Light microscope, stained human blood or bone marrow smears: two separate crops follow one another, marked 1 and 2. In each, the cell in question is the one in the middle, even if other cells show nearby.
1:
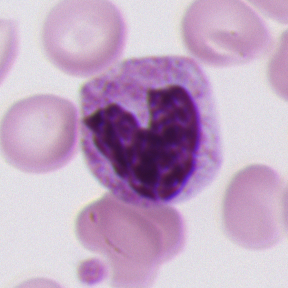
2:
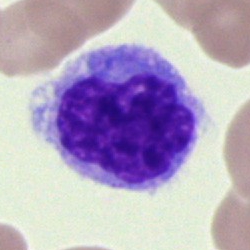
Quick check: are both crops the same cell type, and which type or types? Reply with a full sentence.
No, that is not right; crop 1 shows a band neutrophil and crop 2 shows a monocyte.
